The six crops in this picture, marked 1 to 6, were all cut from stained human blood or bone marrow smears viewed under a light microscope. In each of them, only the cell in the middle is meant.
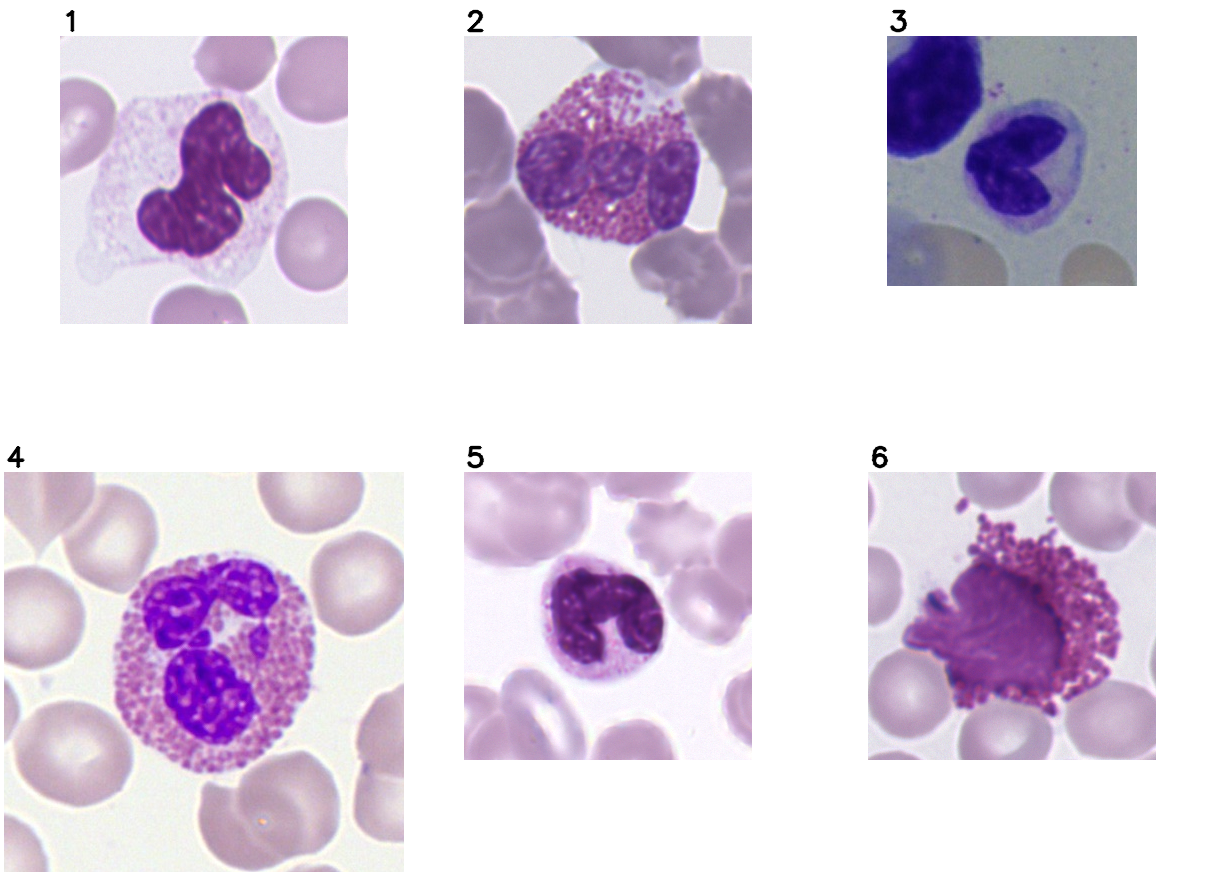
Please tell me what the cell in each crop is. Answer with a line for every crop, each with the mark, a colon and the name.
1: band neutrophil
2: eosinophil
3: band neutrophil
4: eosinophil
5: band neutrophil
6: eosinophil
